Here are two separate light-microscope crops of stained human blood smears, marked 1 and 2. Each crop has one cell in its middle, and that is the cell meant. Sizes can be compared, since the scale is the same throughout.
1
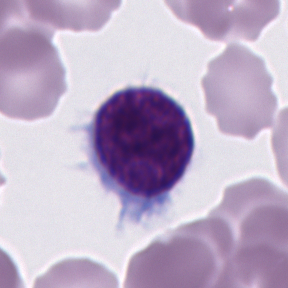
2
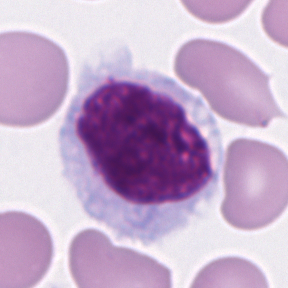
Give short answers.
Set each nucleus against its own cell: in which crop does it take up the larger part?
1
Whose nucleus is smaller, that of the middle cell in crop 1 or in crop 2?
1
